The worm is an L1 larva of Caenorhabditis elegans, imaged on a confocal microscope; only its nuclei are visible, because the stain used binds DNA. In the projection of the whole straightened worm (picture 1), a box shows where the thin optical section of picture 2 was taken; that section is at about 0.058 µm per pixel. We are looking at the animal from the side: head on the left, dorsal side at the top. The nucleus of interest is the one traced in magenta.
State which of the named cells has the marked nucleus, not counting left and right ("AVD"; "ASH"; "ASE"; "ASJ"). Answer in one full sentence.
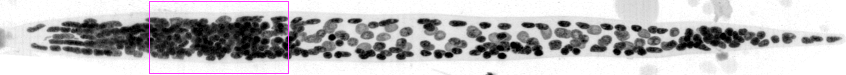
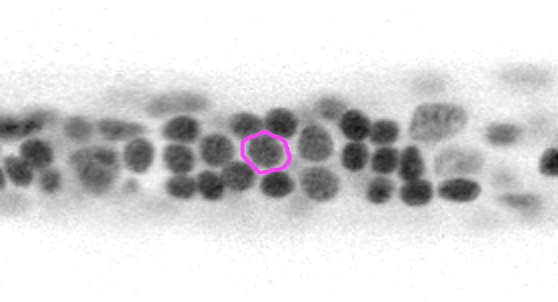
The marked nucleus is that of ASH, a neuron.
